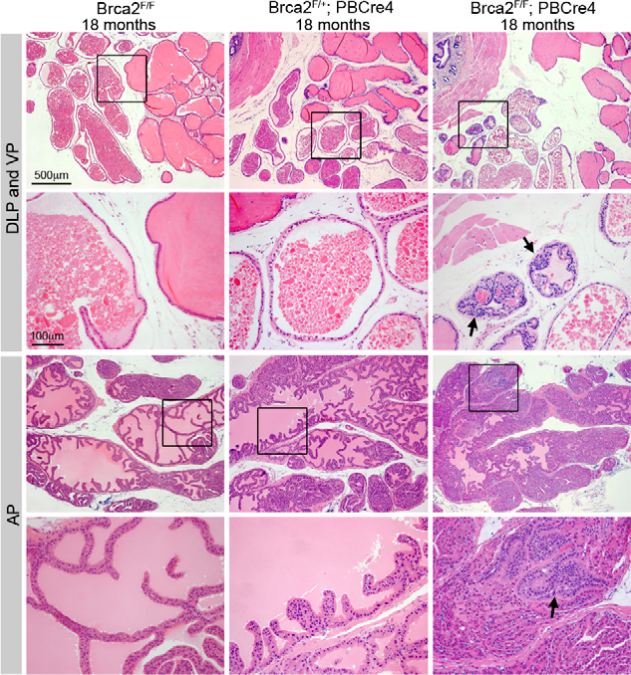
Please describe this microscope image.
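These are sections of prostate glands stained pink and purple. In the upper two rows, the first two columns show simple, flat linings. In the third column, some small glands have thickened, crowded, purple epithelium that piles into the lumen, marked by black arrows. In the lower two rows, the glands have folded linings that project into the lumen. In the third column, the epithelium is crowded and dense, and one focus is marked with an arrow.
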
